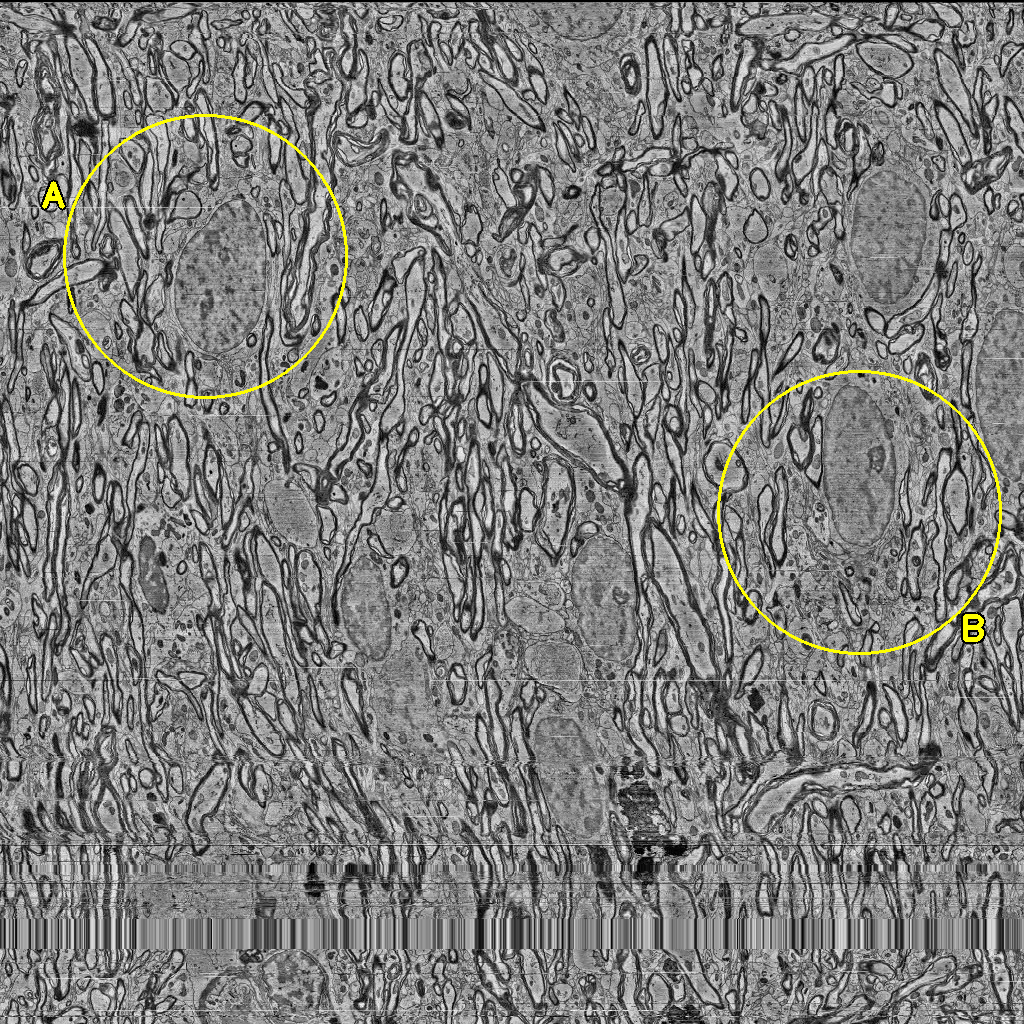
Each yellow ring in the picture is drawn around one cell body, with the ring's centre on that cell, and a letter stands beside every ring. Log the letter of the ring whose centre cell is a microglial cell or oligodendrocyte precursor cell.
A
